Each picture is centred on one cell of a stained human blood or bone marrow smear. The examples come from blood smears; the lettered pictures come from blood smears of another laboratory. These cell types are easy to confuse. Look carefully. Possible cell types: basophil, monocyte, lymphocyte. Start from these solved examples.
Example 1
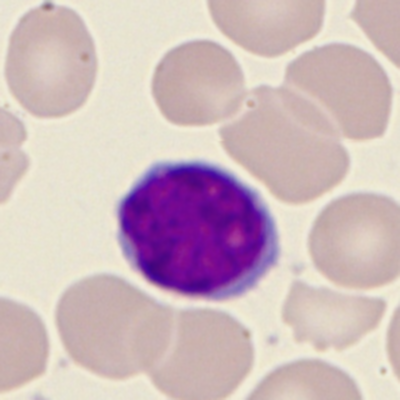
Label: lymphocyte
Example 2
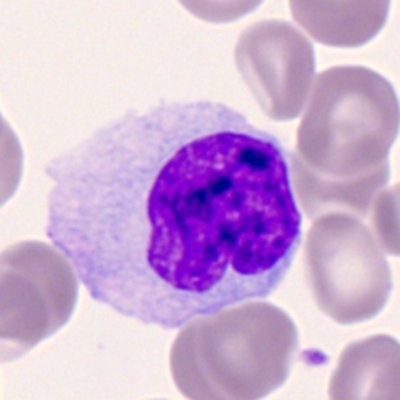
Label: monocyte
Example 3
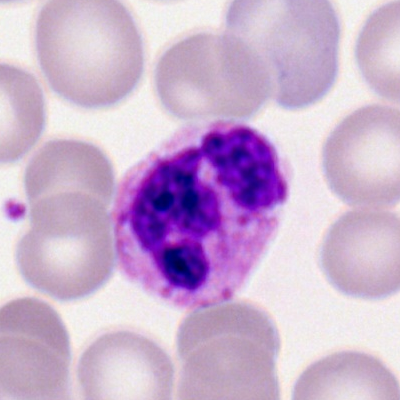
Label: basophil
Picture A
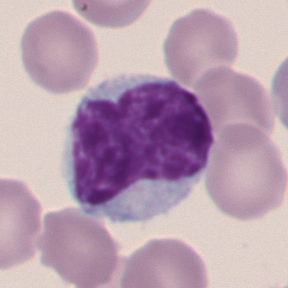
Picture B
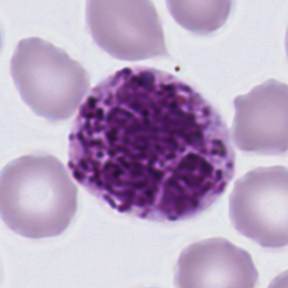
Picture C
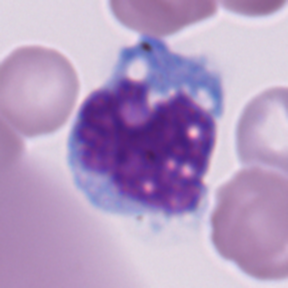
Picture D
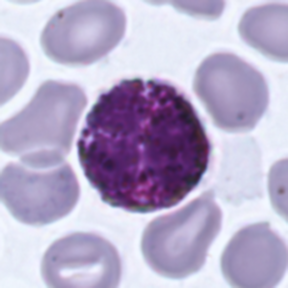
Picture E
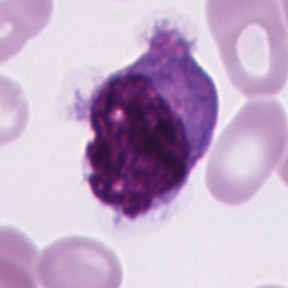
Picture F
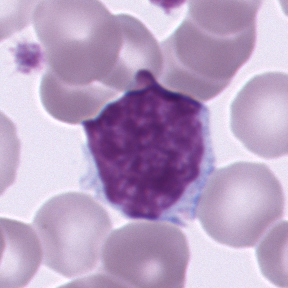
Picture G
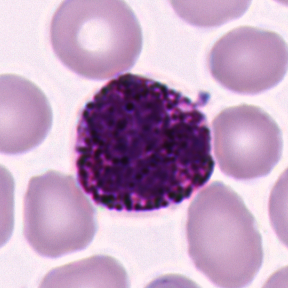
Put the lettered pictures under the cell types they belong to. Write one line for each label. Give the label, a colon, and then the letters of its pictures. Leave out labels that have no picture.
basophil: B, D, G
monocyte: A, C, E
lymphocyte: F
